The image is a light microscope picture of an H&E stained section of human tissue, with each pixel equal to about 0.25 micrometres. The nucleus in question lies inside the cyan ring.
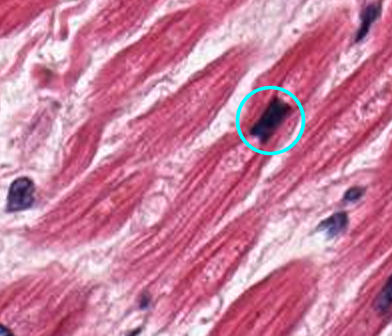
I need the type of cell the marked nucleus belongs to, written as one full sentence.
The mark indicates the nucleus of a cardiomyocyte.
